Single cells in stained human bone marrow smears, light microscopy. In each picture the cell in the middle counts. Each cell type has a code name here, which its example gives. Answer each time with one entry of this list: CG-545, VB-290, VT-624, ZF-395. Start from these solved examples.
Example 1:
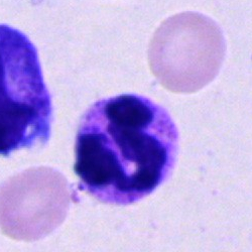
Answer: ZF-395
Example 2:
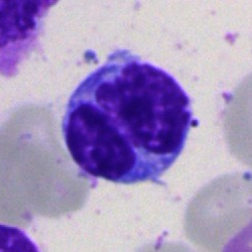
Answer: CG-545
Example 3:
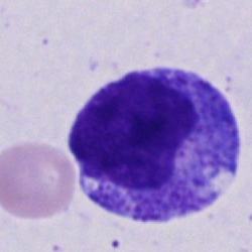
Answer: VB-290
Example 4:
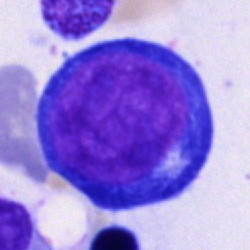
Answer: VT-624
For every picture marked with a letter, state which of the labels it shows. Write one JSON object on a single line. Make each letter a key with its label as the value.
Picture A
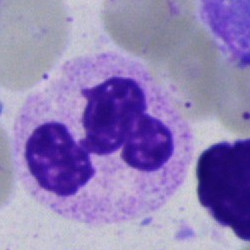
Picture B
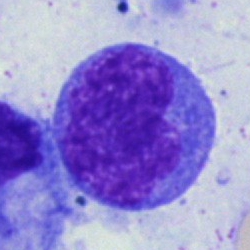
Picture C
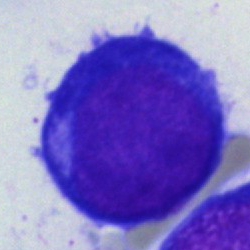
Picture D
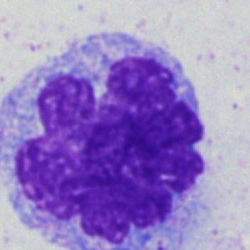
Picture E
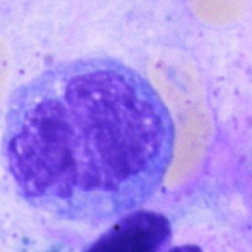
{"A": "ZF-395", "B": "CG-545", "C": "VT-624", "D": "CG-545", "E": "CG-545"}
